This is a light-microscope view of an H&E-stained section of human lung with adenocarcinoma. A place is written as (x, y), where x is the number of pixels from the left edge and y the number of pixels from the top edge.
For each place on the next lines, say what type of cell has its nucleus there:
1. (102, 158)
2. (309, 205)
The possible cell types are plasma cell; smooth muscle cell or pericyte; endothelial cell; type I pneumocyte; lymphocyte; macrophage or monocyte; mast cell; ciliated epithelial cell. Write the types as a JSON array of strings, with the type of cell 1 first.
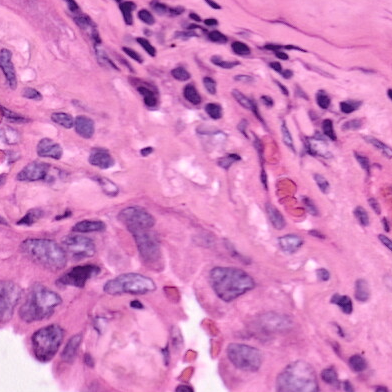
["lymphocyte", "endothelial cell"]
